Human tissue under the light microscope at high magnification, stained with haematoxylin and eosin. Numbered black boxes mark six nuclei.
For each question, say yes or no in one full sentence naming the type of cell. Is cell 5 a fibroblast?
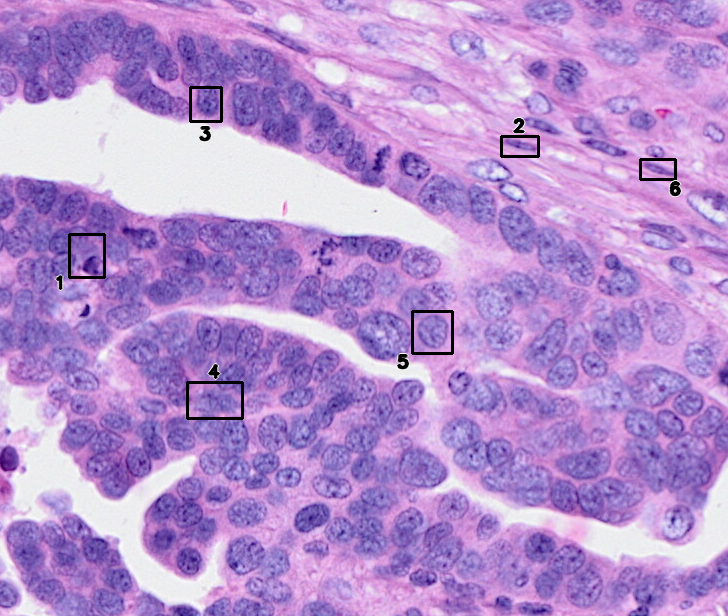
No, cell 5 represents a carcinoma cell rather than a fibroblast.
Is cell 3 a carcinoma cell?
Yes, that is so; number 3 marks a carcinoma cell.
